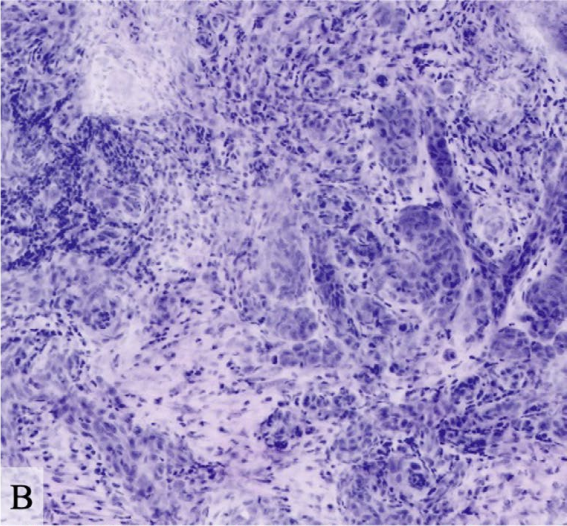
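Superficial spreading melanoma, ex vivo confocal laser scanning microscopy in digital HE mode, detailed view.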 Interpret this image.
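Skin tumour tissue imaged in purple and pink tones, showing nests of melanocytes. Rounded and elongated clusters of cells with dark purple oval nuclei lie within a paler pink stroma that holds scattered spindle-shaped nuclei. The nests differ clearly in size and outline, some enlarged and irregular, others small and angular. In the upper left, a denser band of closely packed dark nuclei is seen, and a few pale, cell-poor areas lie between the nests. Cells within the nests are crowded, with nuclei of varying size.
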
